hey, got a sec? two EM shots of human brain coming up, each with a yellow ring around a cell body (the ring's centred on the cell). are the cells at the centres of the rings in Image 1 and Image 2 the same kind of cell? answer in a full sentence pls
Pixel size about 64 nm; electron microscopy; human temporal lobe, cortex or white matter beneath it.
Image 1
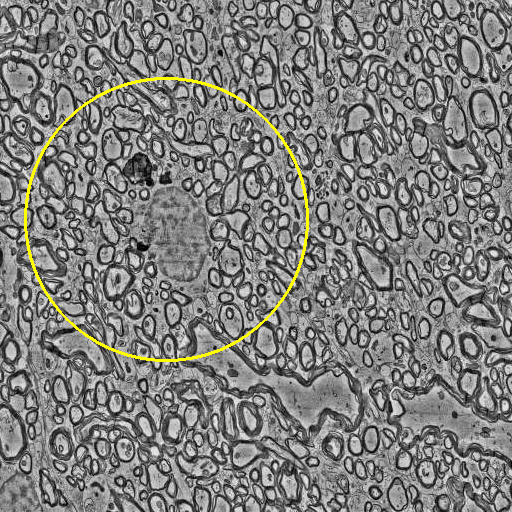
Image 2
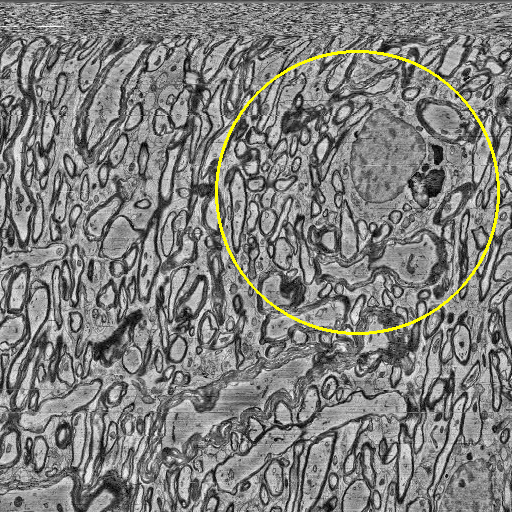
Yes, both are the same kind of cell.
